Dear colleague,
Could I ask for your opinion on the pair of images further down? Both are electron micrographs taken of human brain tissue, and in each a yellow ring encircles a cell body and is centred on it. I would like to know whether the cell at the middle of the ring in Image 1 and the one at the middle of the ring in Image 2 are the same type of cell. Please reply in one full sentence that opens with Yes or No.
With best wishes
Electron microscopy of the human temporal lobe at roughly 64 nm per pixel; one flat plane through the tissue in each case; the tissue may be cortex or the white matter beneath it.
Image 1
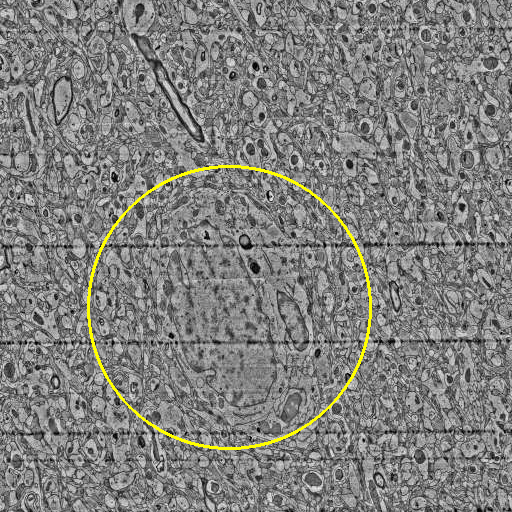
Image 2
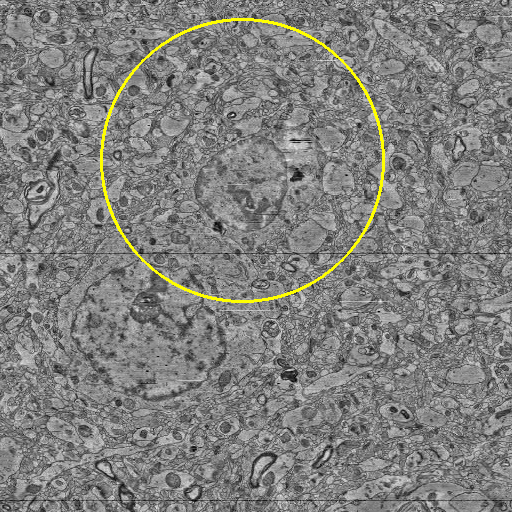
No, the cells at the ring centres in Image 1 and Image 2 are of two types.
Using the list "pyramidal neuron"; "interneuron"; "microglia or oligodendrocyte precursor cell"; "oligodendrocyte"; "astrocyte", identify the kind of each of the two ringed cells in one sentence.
The first is an interneuron and the second is an oligodendrocyte.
